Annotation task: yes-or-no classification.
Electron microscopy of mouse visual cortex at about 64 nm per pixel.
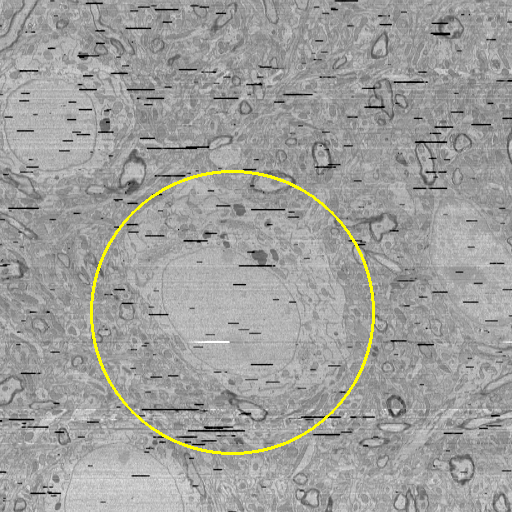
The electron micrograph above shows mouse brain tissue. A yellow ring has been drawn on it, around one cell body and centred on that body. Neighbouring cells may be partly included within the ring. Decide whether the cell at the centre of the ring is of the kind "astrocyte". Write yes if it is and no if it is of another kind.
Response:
no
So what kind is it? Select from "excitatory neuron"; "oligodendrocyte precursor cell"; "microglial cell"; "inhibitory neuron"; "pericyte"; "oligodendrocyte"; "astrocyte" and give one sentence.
Instead, the ringed cell here is an excitatory neuron.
